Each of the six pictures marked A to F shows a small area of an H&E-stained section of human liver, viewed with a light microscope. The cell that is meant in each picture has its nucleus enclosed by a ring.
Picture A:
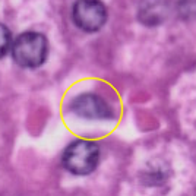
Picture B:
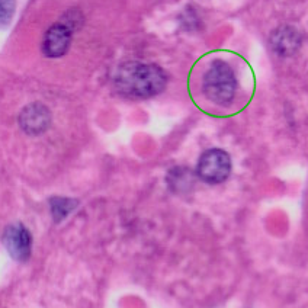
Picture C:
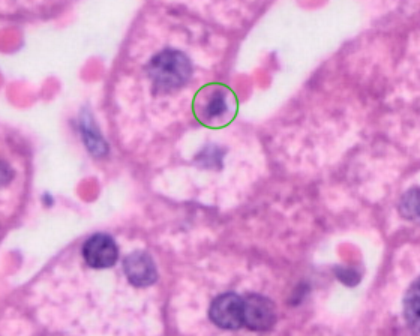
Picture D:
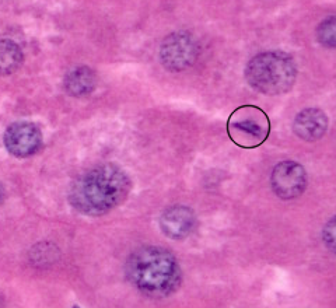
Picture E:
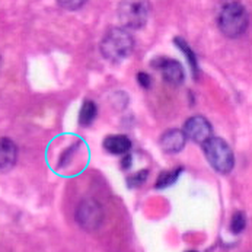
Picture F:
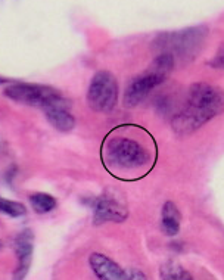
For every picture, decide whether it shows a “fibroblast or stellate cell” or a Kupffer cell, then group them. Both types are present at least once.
A: Kupffer cell
B: Kupffer cell
C: fibroblast or stellate cell
D: fibroblast or stellate cell
E: fibroblast or stellate cell
F: fibroblast or stellate cell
